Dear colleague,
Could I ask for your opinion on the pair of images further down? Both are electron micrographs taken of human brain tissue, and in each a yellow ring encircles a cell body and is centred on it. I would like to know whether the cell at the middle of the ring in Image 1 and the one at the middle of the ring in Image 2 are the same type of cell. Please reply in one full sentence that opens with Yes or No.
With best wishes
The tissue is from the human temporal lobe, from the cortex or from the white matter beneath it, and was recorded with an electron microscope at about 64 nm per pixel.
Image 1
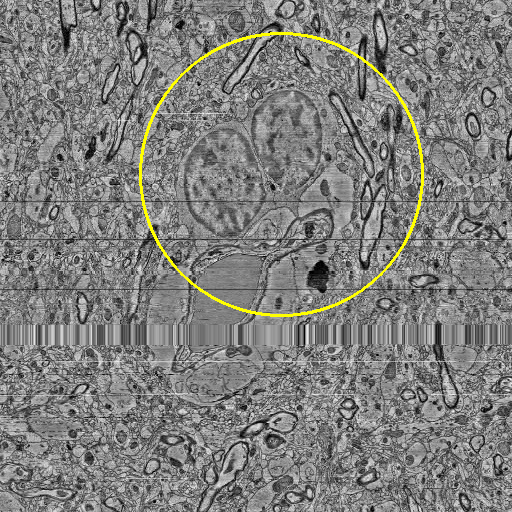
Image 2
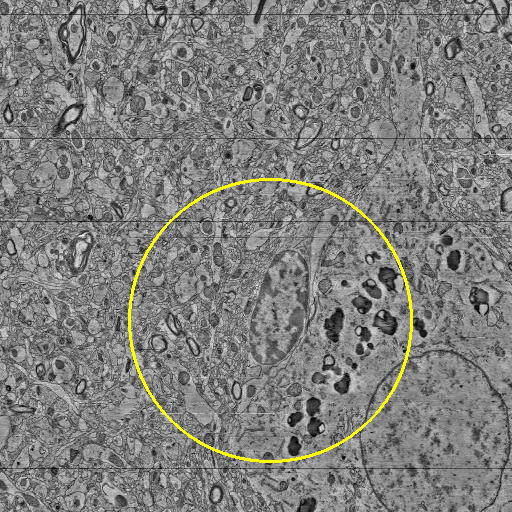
No, the cells at the ring centres in Image 1 and Image 2 are of two types.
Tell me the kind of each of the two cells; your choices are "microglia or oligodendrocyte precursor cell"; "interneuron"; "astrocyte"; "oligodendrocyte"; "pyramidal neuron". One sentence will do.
The ringed cell is an oligodendrocyte in the first picture and a microglial cell or oligodendrocyte precursor cell in the second picture.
